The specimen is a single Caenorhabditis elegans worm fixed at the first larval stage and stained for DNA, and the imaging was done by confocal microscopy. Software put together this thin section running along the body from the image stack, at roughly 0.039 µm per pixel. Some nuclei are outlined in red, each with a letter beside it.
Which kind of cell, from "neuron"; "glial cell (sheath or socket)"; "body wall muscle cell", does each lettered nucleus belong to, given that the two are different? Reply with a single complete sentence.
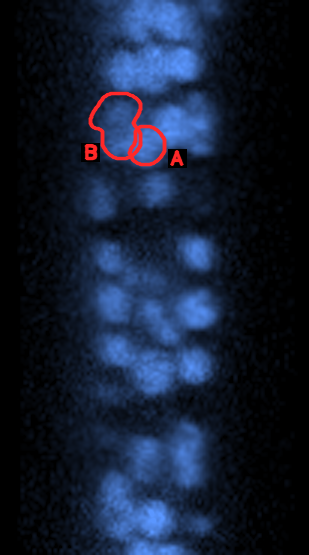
A is the nucleus of a neuron; B is the nucleus of a body wall muscle cell.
